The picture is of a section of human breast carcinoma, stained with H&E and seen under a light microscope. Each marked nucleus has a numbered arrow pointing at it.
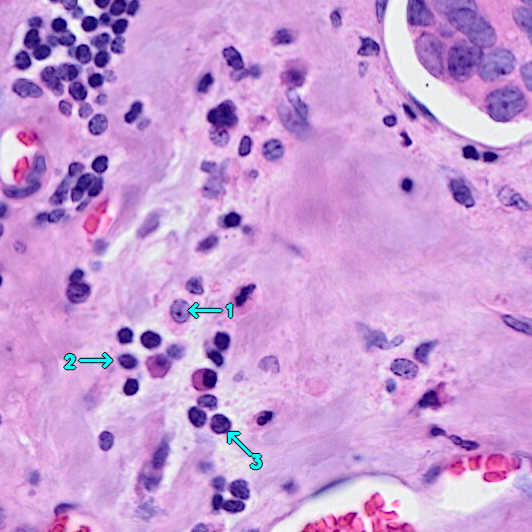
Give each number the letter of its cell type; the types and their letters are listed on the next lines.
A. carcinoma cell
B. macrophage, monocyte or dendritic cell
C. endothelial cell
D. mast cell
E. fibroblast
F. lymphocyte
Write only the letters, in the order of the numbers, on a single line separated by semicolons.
D; F; F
